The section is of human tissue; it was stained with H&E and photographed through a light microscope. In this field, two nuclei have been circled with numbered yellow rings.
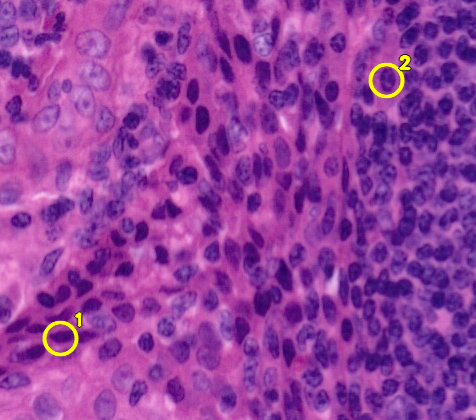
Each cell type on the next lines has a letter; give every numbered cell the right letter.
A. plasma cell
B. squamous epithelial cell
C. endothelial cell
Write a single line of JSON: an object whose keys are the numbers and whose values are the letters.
{"1": "B", "2": "A"}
